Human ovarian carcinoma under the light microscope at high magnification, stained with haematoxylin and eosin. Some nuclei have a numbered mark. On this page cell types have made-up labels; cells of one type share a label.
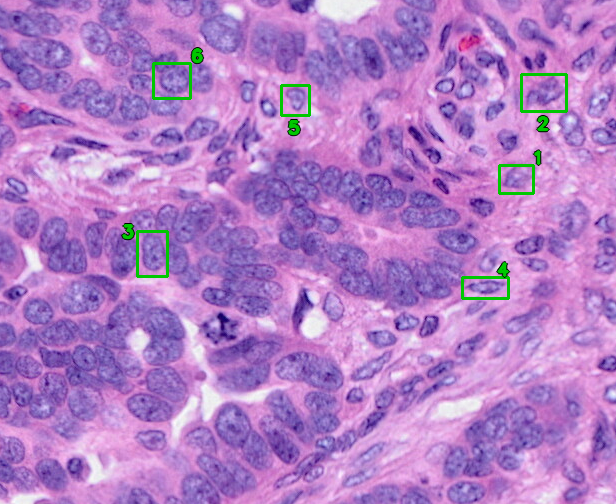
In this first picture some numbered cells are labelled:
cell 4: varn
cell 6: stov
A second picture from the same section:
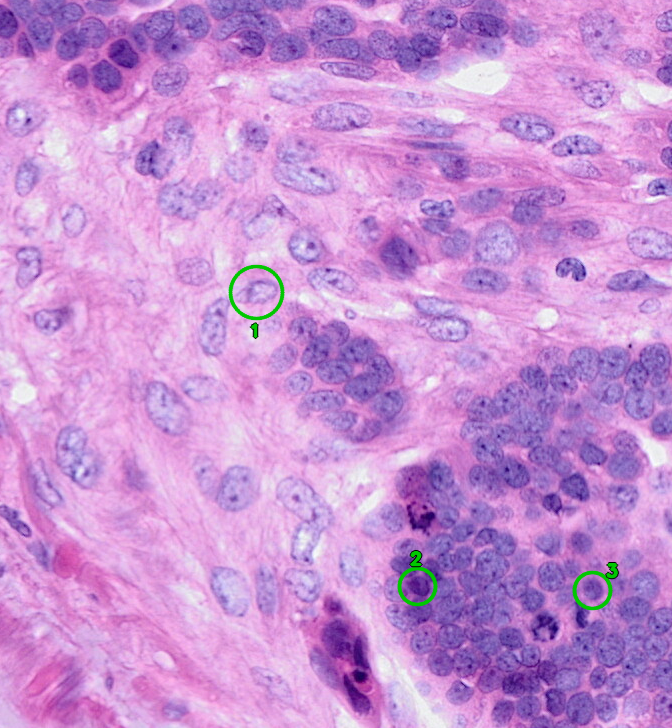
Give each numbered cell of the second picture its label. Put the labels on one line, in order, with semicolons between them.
varn; stov; stov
